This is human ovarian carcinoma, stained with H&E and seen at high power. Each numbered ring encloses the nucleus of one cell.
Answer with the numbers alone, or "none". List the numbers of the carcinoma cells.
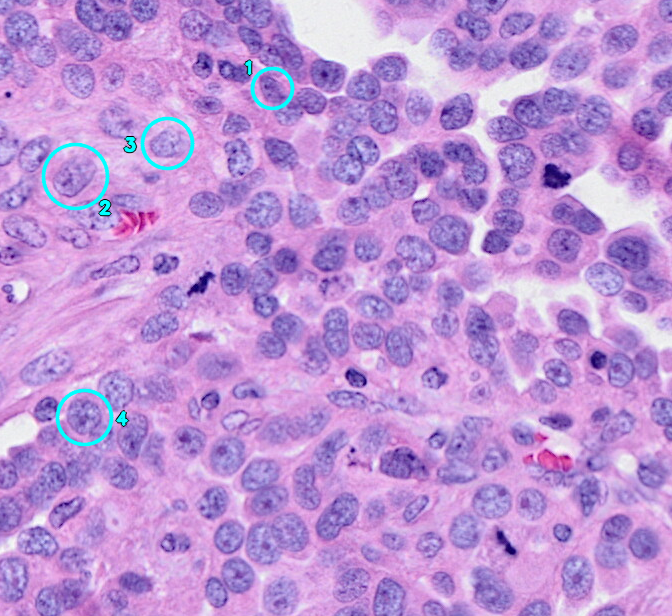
1, 4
